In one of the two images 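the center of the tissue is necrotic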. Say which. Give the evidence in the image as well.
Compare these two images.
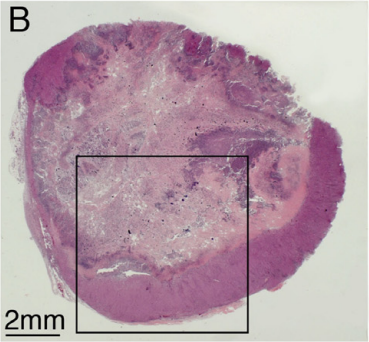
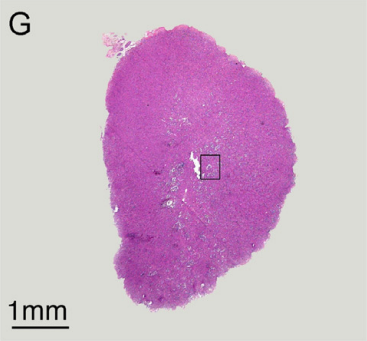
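First image: the center is pale and fragmented, with a dense purple rim on one side. That points to this answer: the first image.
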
